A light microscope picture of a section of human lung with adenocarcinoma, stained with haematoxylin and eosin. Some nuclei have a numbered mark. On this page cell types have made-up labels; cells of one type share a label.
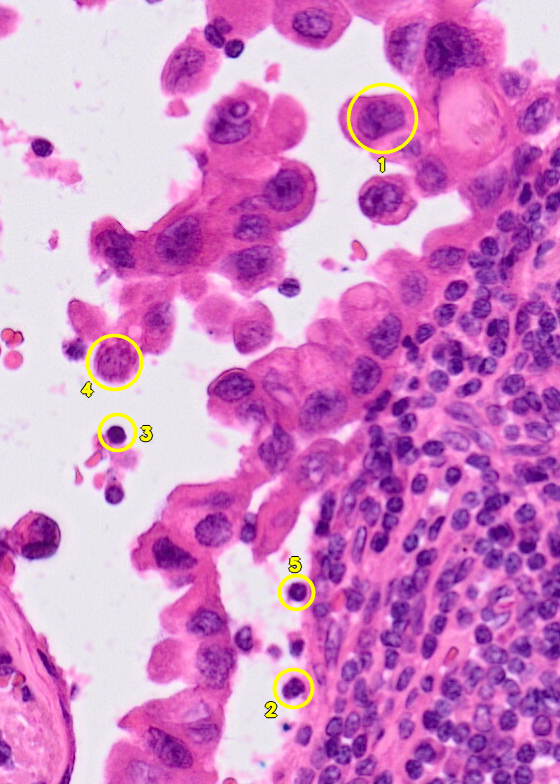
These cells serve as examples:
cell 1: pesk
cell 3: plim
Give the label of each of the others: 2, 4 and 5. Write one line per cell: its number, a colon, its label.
2: plim
4: pesk
5: plim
